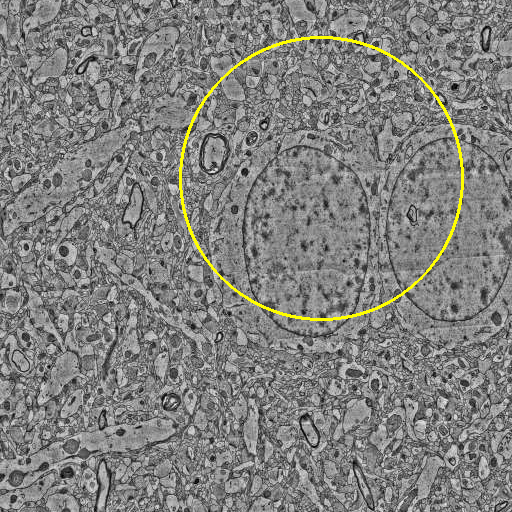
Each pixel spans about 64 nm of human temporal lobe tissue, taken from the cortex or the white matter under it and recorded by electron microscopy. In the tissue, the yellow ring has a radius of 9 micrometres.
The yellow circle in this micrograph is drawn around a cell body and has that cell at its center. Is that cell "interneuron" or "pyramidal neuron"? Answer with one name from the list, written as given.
pyramidal neuron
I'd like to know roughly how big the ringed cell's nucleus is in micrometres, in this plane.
Roughly 12 by 8 micrometres is the size of the nucleus in this plane.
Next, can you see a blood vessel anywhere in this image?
No, no blood vessel shows in the picture.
